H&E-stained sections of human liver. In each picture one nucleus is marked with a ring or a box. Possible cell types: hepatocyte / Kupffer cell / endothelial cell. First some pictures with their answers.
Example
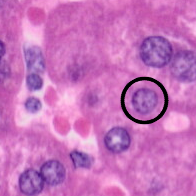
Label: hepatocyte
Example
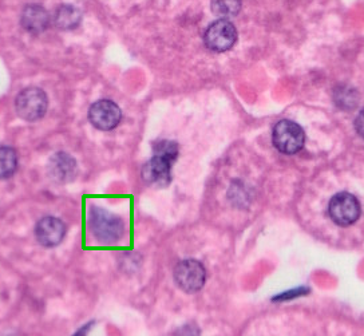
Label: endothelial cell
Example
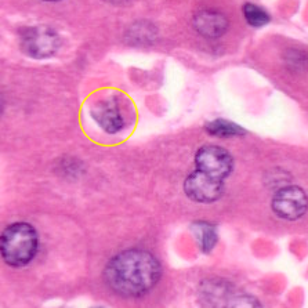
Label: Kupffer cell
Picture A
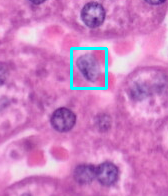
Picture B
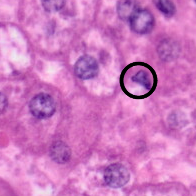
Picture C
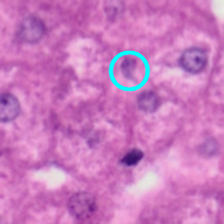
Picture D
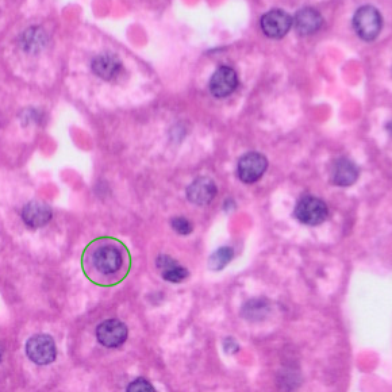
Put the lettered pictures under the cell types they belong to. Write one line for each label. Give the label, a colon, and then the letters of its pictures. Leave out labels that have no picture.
hepatocyte: D
endothelial cell: A, B, C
